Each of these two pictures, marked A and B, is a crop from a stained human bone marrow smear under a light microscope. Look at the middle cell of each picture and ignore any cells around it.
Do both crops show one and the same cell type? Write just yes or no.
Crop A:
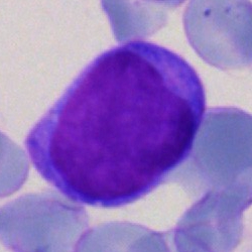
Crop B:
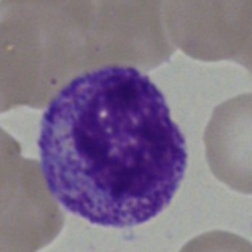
no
